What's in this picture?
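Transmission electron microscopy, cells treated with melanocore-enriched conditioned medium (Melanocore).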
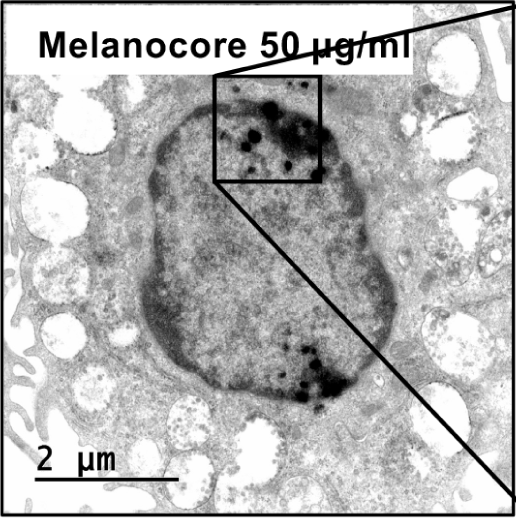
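The cytoplasm is crowded with many pale, rounded vacuoles of varying size, some containing fine granular material. Short finger-like projections stud the cell surface. Small round black particles cluster at the nuclear periphery, notably at its upper and lower ends.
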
